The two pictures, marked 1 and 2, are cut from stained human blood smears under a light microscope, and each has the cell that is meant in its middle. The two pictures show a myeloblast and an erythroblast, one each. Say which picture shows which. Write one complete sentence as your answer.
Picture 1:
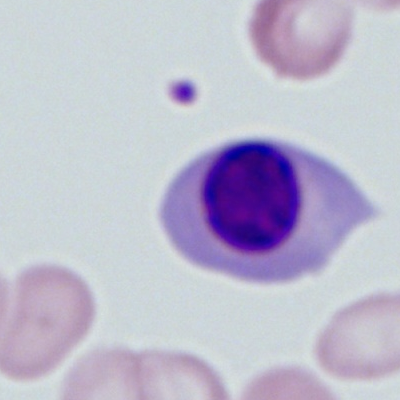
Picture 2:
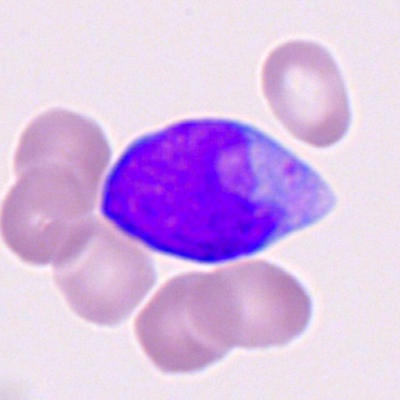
Picture 1 shows an erythroblast and picture 2 shows a myeloblast.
